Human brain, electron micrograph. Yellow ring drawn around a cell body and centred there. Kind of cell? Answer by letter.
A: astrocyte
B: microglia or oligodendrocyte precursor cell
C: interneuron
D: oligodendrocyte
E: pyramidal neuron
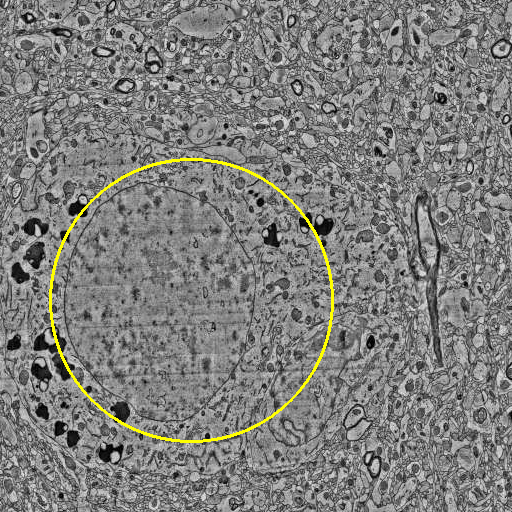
E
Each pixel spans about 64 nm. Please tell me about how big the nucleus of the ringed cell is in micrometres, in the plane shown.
About 15 by 12 micrometres in this plane.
